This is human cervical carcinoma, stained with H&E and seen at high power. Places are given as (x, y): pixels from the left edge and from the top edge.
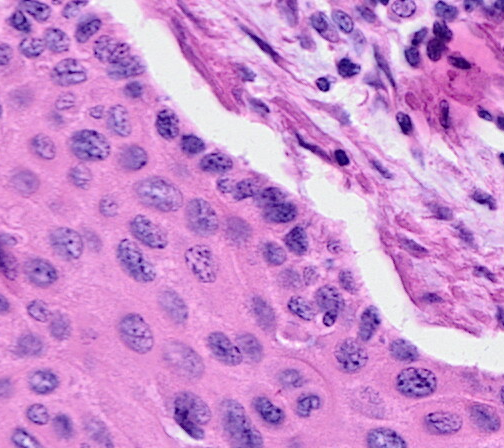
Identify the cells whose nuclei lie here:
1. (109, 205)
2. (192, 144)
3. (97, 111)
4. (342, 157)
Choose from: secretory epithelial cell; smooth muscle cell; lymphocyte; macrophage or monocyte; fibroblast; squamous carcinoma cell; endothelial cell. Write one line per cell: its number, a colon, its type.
1: squamous carcinoma cell
2: squamous carcinoma cell
3: squamous carcinoma cell
4: lymphocyte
